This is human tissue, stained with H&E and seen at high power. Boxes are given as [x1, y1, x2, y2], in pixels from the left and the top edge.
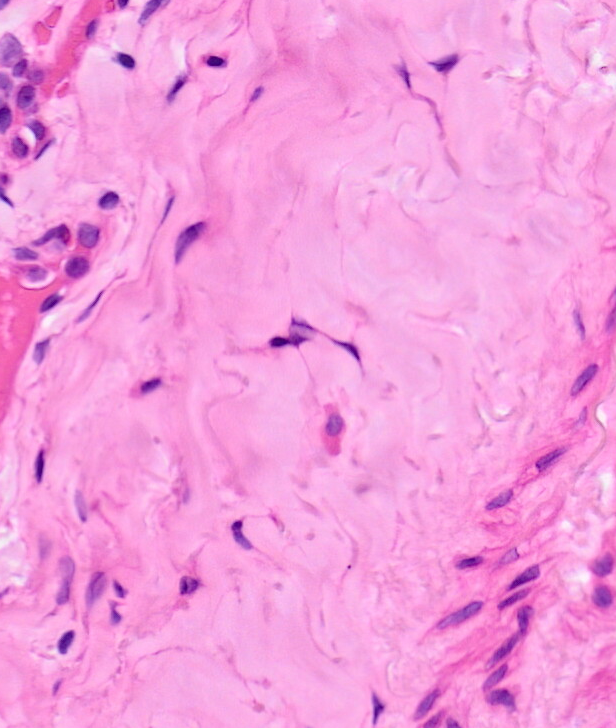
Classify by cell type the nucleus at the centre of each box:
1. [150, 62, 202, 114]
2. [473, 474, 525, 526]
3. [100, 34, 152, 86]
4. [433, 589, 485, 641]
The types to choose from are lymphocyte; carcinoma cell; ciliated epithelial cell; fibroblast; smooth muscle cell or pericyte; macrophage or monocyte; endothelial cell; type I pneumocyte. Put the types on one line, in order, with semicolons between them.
fibroblast; smooth muscle cell or pericyte; lymphocyte; smooth muscle cell or pericyte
